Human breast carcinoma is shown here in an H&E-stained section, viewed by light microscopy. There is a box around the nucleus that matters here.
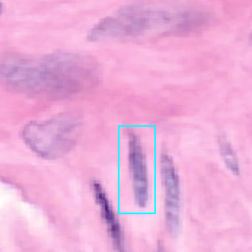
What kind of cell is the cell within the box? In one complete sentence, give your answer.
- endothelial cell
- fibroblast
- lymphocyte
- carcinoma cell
In this section of tissue, the cell within the box is an endothelial cell.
